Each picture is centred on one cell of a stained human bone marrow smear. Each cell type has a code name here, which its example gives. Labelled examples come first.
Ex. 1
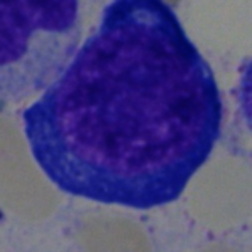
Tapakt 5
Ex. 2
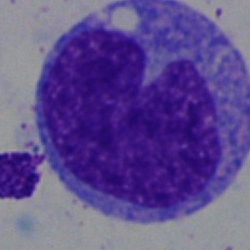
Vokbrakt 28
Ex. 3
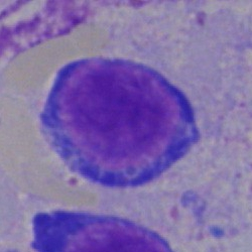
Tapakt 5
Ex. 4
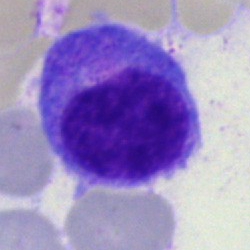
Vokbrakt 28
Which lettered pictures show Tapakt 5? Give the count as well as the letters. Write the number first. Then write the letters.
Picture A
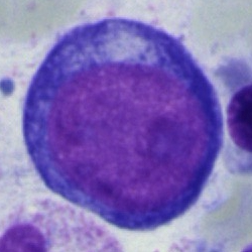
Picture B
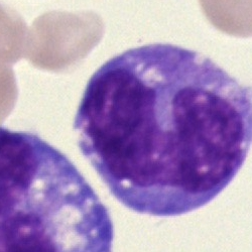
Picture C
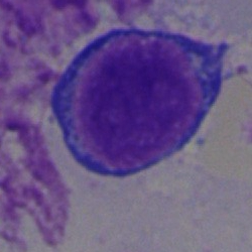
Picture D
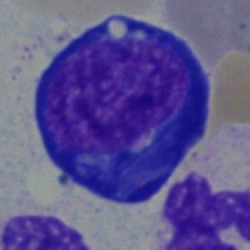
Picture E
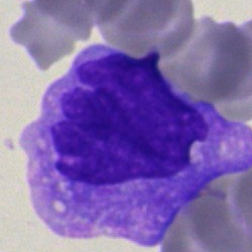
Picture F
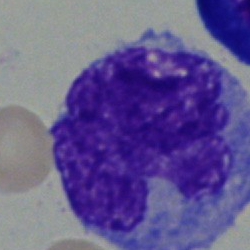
3: A, C, D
